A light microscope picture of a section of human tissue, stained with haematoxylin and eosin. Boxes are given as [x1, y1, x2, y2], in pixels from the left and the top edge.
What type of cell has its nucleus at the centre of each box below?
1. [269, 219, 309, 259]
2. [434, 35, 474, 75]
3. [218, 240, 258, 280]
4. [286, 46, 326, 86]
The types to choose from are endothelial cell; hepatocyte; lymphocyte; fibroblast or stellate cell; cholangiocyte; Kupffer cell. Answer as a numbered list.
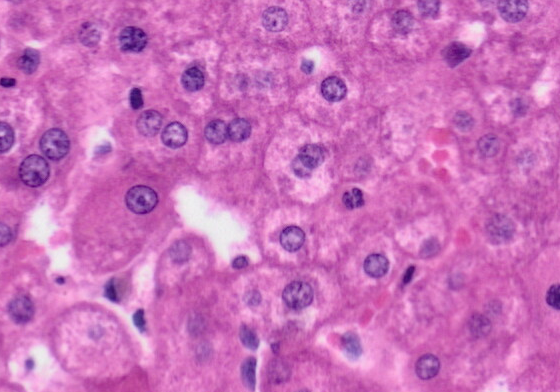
1. hepatocyte
2. endothelial cell
3. Kupffer cell
4. lymphocyte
